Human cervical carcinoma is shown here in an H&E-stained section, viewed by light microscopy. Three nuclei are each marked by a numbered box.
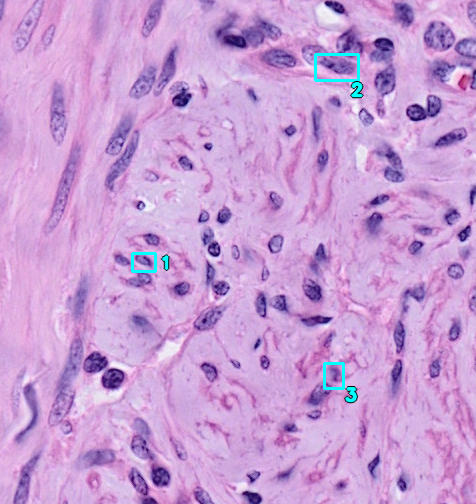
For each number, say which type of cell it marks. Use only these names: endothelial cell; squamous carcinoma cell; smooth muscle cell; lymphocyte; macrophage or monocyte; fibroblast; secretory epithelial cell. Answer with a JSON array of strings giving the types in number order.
["smooth muscle cell", "endothelial cell", "smooth muscle cell"]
